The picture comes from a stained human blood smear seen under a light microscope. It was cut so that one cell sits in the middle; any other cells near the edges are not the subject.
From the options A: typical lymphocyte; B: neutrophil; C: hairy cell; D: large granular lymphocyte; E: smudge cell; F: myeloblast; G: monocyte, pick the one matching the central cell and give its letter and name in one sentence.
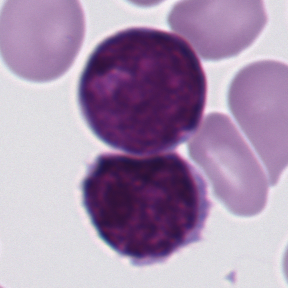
The cell shown centrally is a myeloblast; option F is the correct option.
